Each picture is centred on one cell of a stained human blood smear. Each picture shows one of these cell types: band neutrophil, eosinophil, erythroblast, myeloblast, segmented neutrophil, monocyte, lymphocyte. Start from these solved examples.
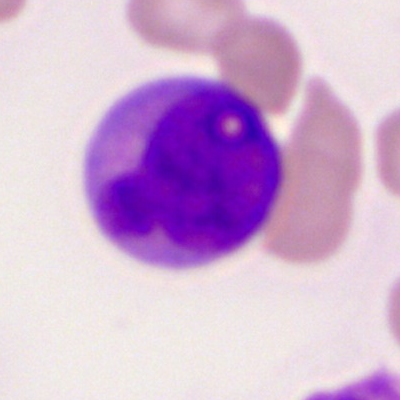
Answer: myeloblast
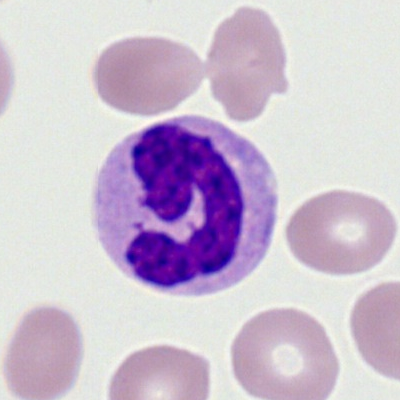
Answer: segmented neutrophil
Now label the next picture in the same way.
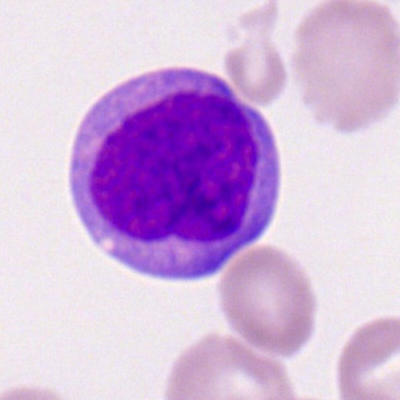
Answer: monocyte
